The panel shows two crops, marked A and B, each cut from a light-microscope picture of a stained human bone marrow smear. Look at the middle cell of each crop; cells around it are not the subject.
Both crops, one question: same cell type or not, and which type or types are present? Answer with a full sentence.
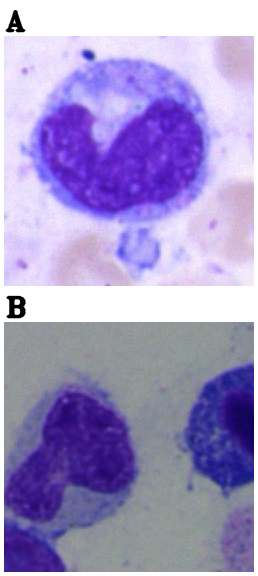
Yes, the two crops share the same answer, monocytes.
